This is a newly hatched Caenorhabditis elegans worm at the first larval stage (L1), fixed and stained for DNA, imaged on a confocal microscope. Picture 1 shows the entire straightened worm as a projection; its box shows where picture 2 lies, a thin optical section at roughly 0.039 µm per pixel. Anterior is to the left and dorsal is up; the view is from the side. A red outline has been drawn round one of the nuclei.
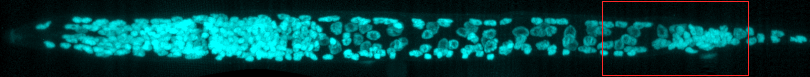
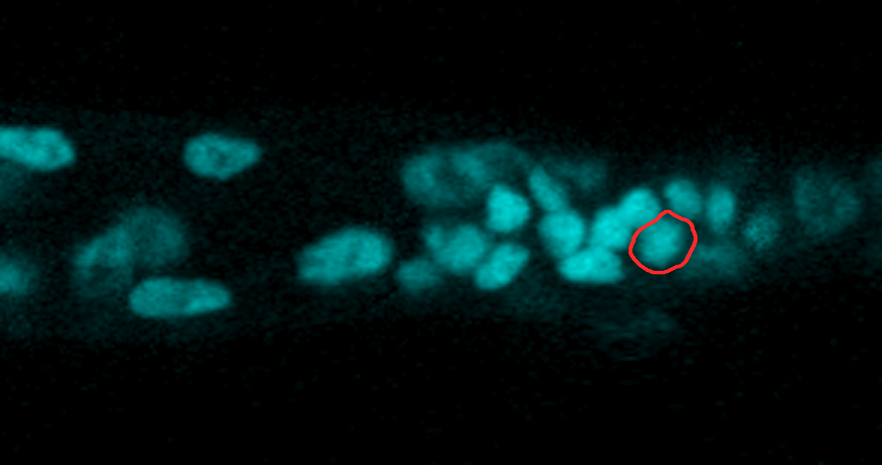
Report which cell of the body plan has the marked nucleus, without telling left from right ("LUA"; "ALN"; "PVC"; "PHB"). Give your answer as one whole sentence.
It belongs to PVC, a neuron.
